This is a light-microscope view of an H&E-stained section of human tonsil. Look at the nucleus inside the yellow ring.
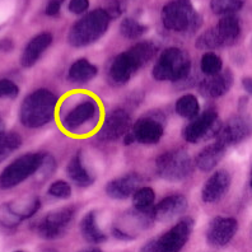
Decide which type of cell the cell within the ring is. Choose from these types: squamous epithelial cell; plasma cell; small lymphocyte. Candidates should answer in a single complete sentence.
In cellular terms, the cell within the ring is a squamous epithelial cell.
